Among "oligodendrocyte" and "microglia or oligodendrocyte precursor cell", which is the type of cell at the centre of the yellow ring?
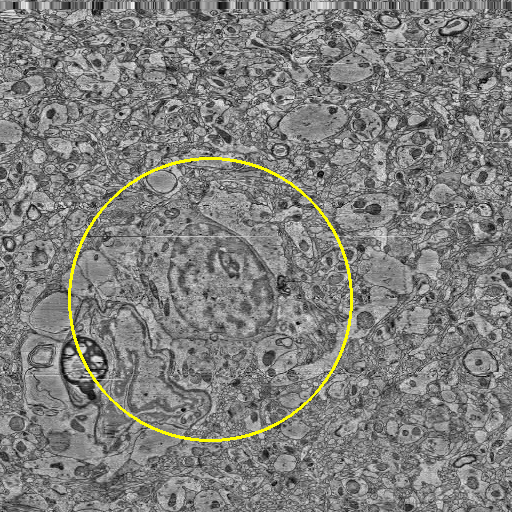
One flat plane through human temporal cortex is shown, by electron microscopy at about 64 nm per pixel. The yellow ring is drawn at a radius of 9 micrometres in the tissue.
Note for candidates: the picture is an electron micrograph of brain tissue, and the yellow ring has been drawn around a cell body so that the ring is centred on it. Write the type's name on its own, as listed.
oligodendrocyte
